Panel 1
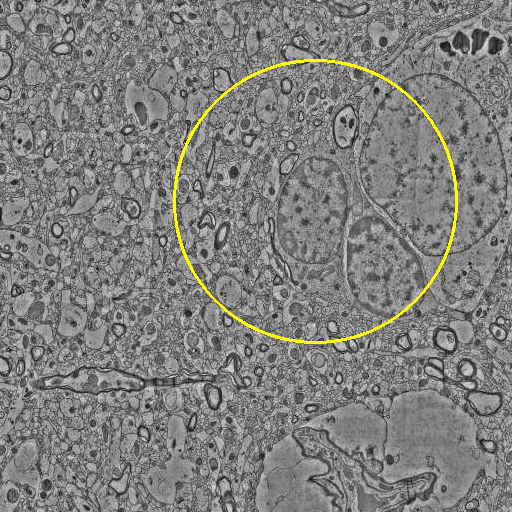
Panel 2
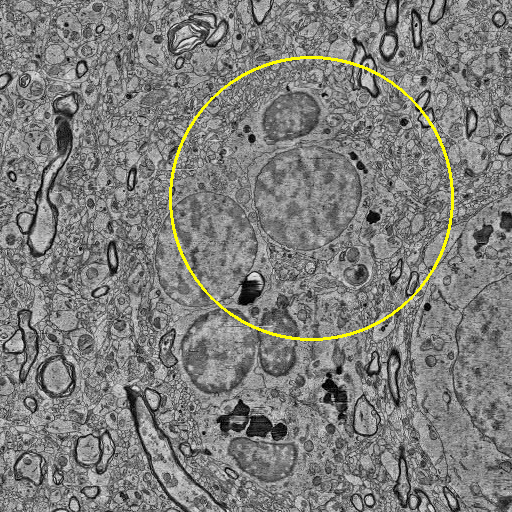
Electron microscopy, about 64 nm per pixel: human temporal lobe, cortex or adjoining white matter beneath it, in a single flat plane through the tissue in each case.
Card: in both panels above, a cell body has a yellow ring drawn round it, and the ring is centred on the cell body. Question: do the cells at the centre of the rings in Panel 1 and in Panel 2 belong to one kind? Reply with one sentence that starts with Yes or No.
Yes, the cells centred in the rings of Panel 1 and Panel 2 are one kind of cell.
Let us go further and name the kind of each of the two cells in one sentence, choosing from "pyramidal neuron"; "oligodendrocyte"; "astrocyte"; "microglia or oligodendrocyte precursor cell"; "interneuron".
Both rings mark an oligodendrocyte, one in each picture.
